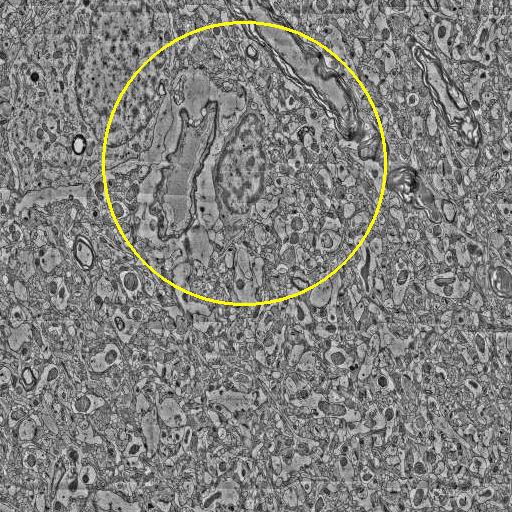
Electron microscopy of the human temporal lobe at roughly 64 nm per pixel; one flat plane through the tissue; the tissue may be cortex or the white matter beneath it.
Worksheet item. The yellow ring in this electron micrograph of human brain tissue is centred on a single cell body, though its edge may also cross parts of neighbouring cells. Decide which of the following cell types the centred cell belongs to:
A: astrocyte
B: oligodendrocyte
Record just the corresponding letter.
B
